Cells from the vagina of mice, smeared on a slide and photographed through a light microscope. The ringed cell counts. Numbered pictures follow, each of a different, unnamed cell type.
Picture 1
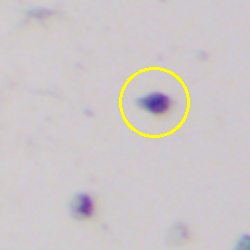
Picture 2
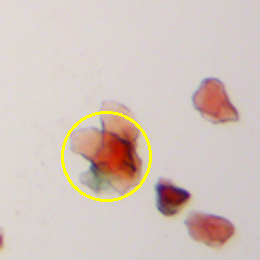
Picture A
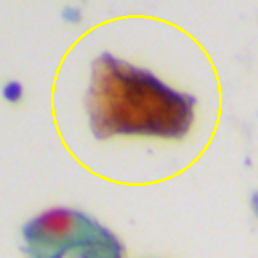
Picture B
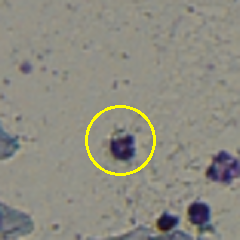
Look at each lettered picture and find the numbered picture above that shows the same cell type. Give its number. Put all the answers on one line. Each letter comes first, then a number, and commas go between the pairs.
A 2, B 1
